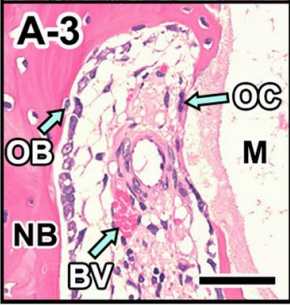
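A band of pink bone on the left is lined along its surface by a row of plump cuboidal cells with dark nuclei, next to a loose connective tissue containing a small vessel packed with red blood cells. On the right a pale, structureless material is bordered by flattened cells with dark nuclei.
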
